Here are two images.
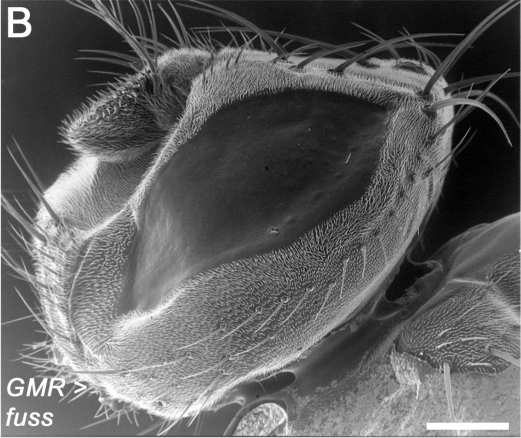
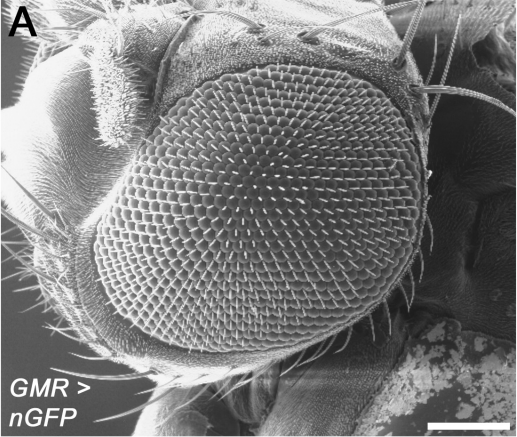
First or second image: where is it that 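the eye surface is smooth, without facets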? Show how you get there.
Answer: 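The first image. First image: the eye is a smooth glossy surface with no facets. Second image: the eye is covered with a regular array of hexagonal facets and bristles.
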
